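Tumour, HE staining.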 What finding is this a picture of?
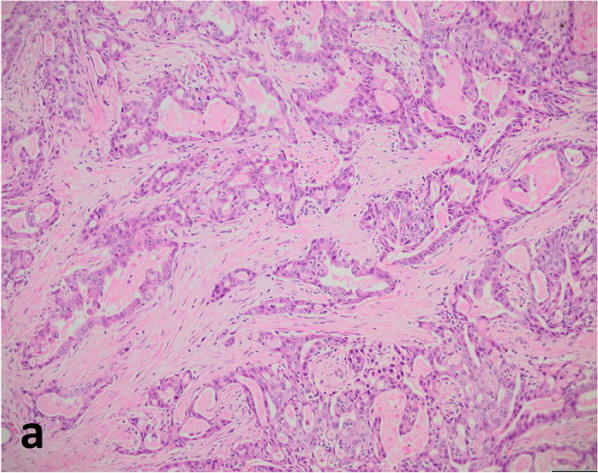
Desmoplastic stromal reaction.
